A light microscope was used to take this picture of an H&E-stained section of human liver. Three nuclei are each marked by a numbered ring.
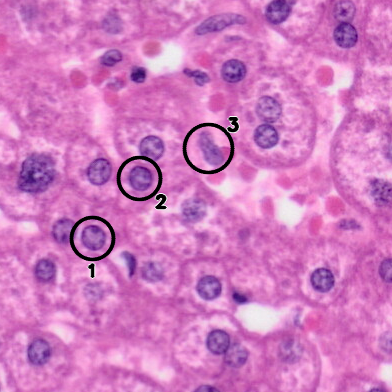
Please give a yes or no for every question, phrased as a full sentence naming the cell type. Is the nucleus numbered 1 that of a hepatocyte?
Yes, so the cell at label 1 is a hepatocyte.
